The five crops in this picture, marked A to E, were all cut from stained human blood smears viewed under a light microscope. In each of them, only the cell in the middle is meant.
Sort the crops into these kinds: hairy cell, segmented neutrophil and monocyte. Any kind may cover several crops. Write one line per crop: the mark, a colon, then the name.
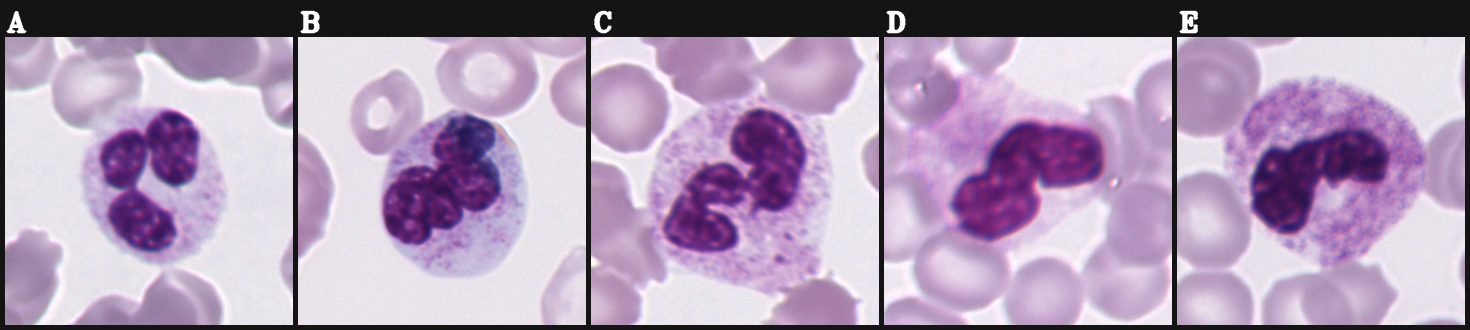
A: segmented neutrophil
B: segmented neutrophil
C: segmented neutrophil
D: segmented neutrophil
E: segmented neutrophil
